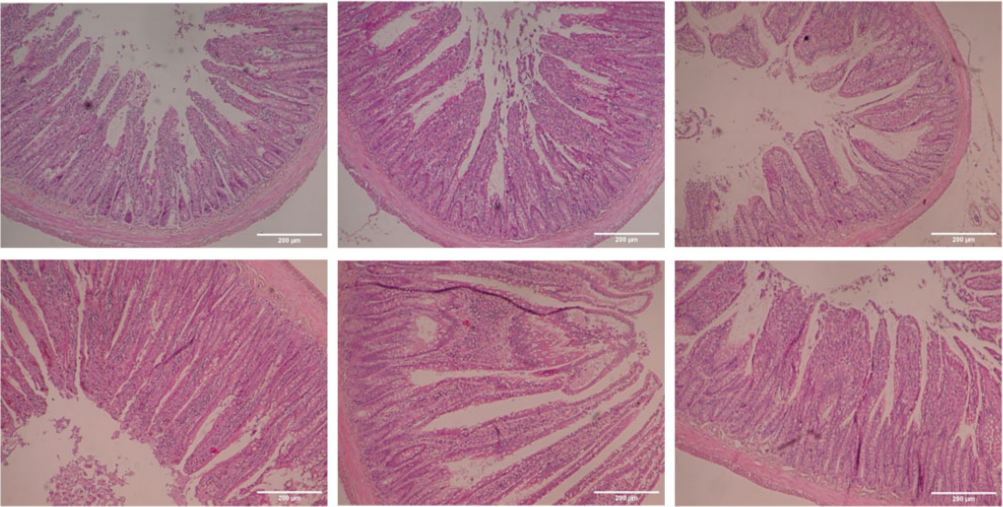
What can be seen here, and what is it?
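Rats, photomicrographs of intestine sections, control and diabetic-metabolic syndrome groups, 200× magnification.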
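Slender villi radiate from the outer wall toward a central lumen. Short crypts sit between the villus bases. A thin, uniformly pink band of smooth muscle runs around the outside of the wall. In some views the villi look longer and more tightly packed, and they fill more of the lumen than in others. The lumen holds loose pale material and a few scattered cells.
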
